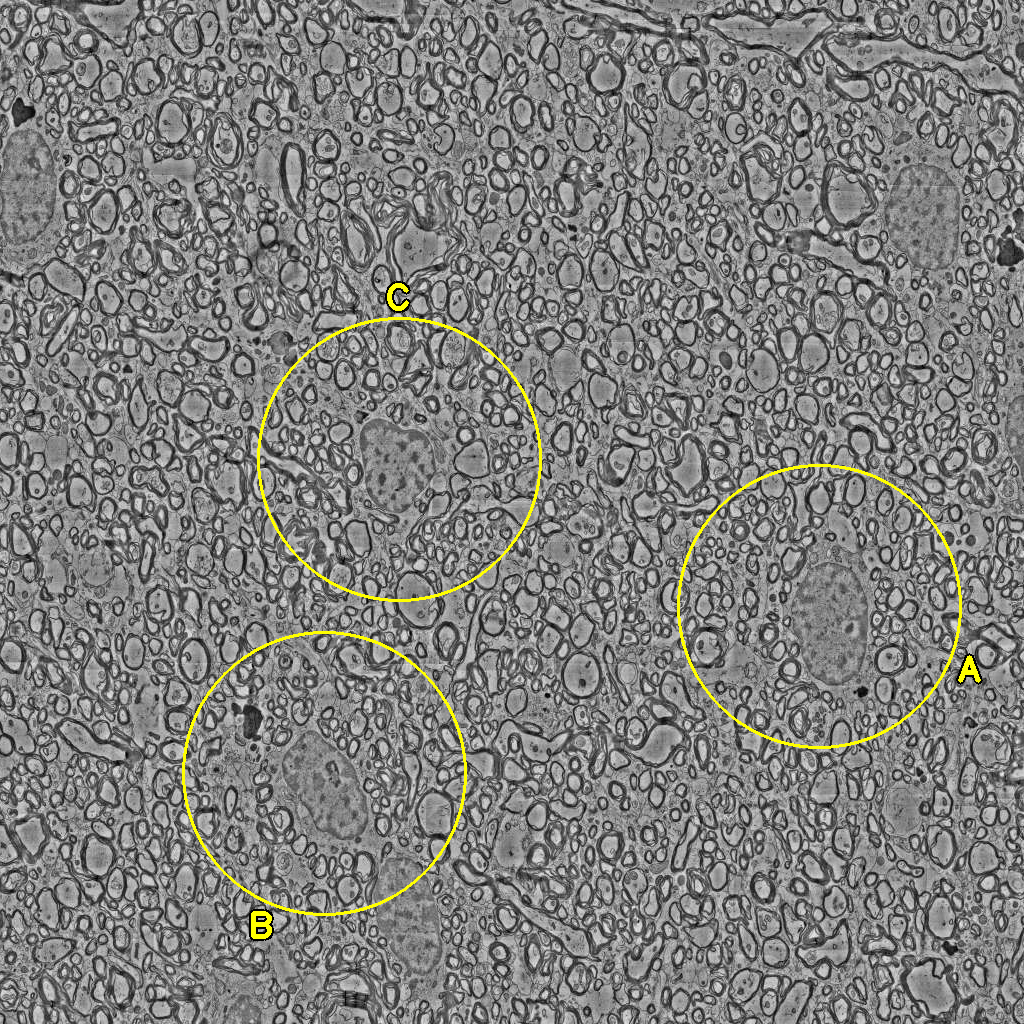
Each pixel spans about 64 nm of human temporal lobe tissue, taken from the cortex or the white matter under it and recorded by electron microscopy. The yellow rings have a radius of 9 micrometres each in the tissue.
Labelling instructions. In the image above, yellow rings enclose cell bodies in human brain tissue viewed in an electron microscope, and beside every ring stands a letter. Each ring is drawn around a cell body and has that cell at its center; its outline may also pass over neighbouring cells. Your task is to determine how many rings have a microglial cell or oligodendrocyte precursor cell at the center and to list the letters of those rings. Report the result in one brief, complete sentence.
The ring beside the letter C is the single ring centred on a microglial cell or oligodendrocyte precursor cell.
